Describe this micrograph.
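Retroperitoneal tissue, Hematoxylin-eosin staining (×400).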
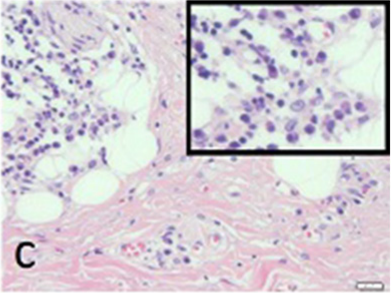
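Among empty round fat spaces lie clusters of round cells with dark, eccentrically placed nuclei and a rim of purple-pink cytoplasm, best seen in the enlarged inset. Below them, broad wavy pink bands of collagen with few thin spindle nuclei cross the field, with a small vessel containing red cells. These round cells with off-centre nuclei are plasma cells infiltrating the tissue, and the dense pink collagen marks fibrosis.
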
